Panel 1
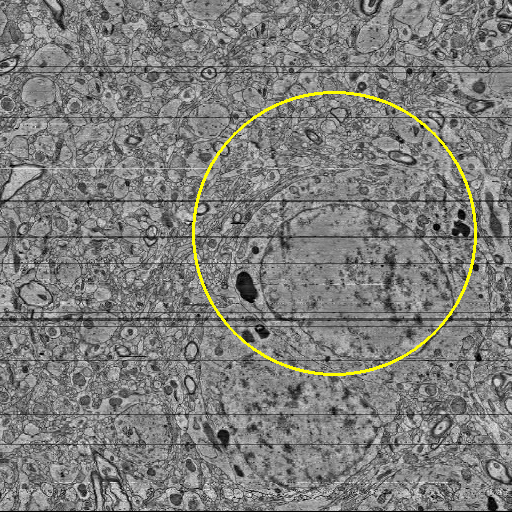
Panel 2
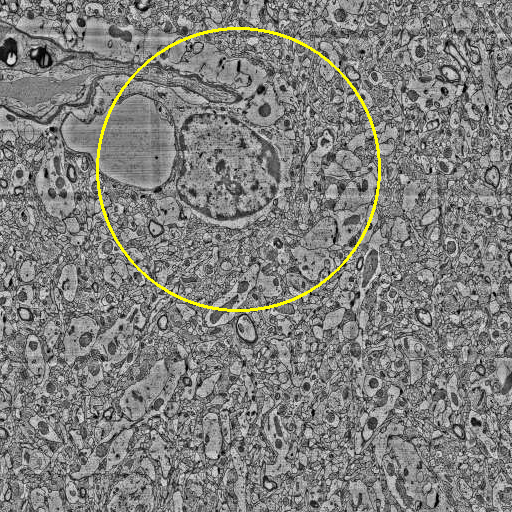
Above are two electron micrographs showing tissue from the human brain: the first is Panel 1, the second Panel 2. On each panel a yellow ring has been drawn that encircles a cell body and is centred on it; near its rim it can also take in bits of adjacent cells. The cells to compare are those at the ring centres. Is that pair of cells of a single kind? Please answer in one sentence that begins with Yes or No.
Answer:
No, the ring-centred cells of Panel 1 and Panel 2 belong to two kinds.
